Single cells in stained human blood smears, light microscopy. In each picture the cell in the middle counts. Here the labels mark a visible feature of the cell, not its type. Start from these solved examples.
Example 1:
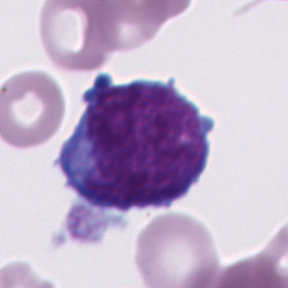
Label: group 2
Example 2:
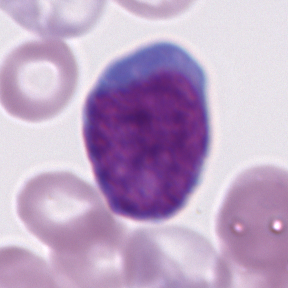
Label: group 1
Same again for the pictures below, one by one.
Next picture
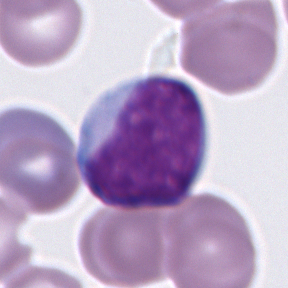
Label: group 1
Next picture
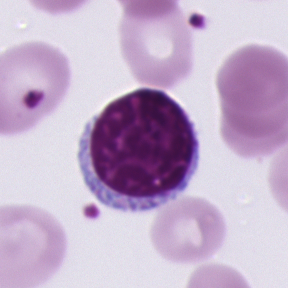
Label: group 1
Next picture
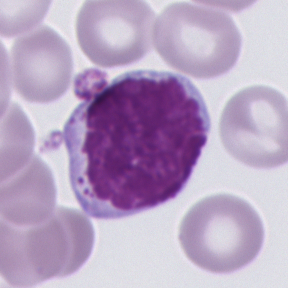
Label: group 1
